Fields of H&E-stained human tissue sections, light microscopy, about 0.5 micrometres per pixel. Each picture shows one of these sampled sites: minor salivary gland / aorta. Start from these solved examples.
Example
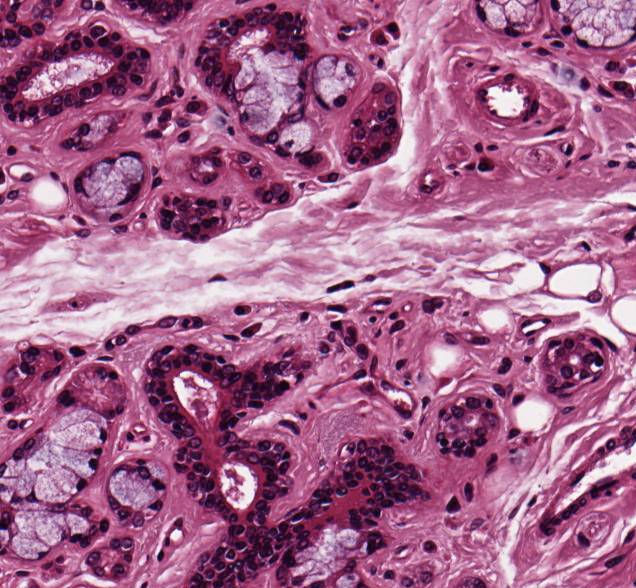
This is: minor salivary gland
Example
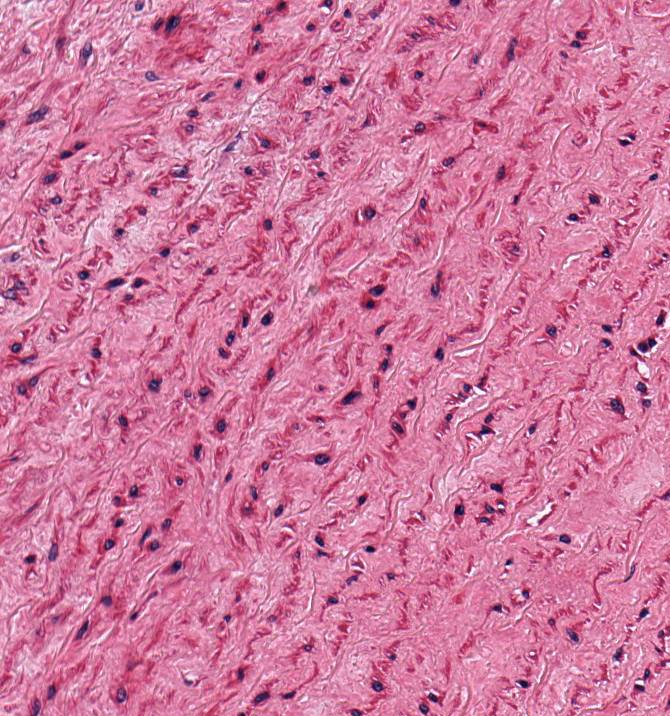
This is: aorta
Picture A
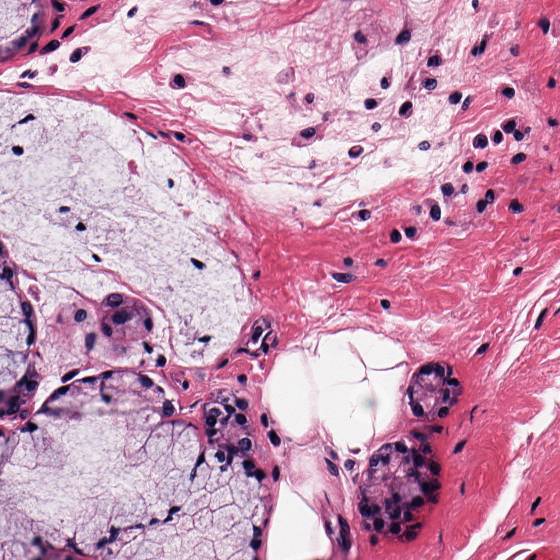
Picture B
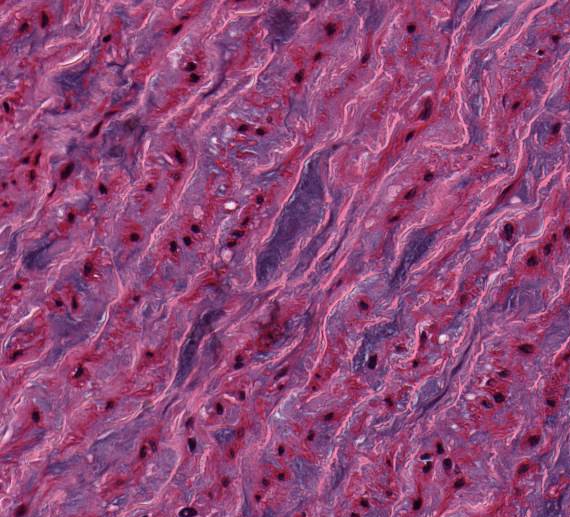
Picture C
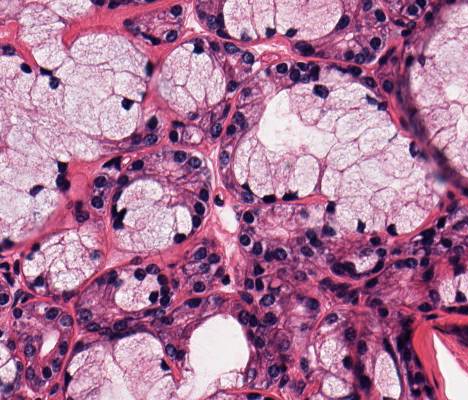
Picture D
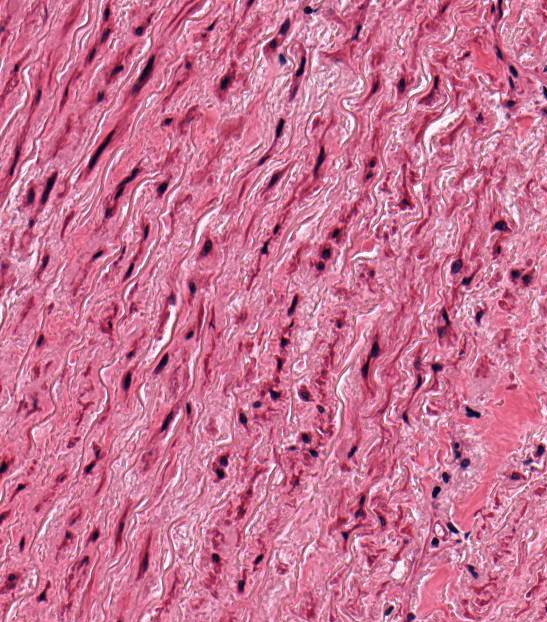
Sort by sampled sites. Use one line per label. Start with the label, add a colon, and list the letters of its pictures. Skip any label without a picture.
minor salivary gland: A, C
aorta: B, D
